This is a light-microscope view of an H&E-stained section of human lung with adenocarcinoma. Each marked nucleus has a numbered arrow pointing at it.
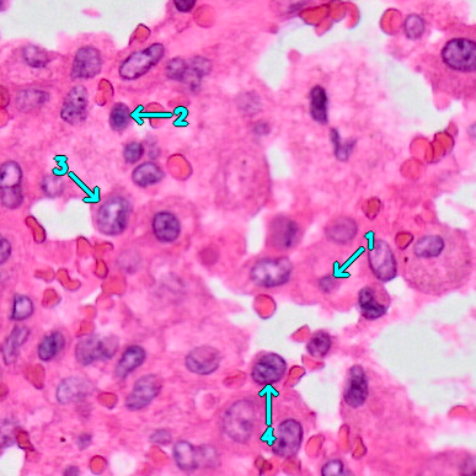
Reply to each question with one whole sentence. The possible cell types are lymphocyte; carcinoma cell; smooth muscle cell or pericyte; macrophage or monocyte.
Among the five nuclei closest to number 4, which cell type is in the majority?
Of the five nuclei nearest to number 4, most belong to macrophages or monocytes.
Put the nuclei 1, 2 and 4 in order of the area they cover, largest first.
Going from the biggest nucleus down to the smallest gives 4, 2, 1.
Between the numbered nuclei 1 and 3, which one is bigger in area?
Nucleus 3 is the larger one, covering about 4 times the area of nucleus 1.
